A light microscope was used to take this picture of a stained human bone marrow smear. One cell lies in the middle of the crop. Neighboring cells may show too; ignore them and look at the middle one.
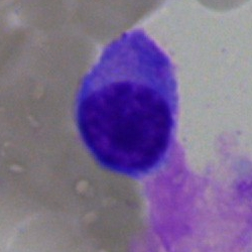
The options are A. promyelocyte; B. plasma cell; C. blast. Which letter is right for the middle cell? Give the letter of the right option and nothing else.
B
